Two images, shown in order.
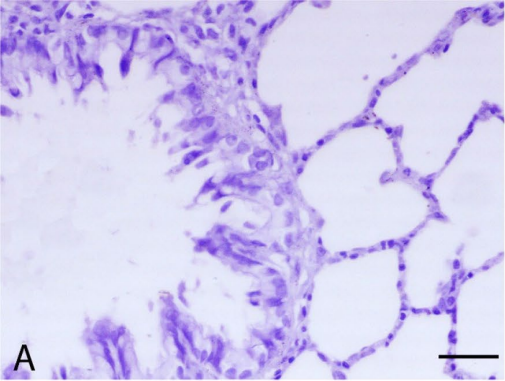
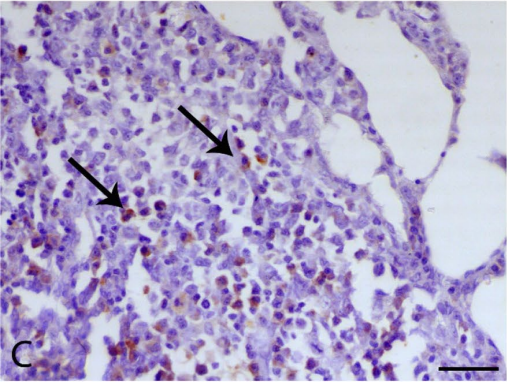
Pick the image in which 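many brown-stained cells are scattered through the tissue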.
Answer: The second image.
